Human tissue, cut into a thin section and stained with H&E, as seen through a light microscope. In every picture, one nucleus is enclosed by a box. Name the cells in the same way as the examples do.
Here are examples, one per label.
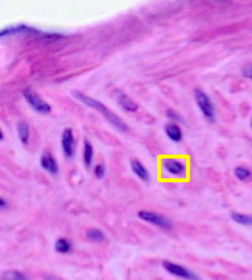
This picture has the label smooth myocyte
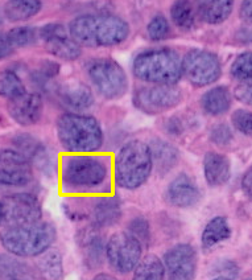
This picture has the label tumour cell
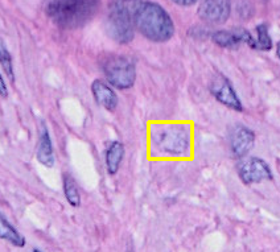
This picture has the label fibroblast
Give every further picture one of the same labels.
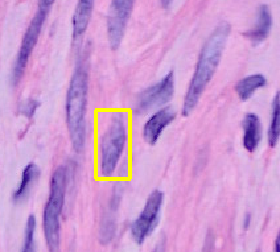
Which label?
smooth myocyte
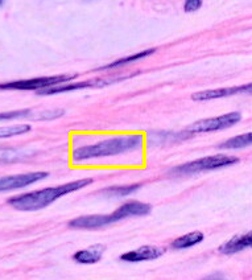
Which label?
smooth myocyte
